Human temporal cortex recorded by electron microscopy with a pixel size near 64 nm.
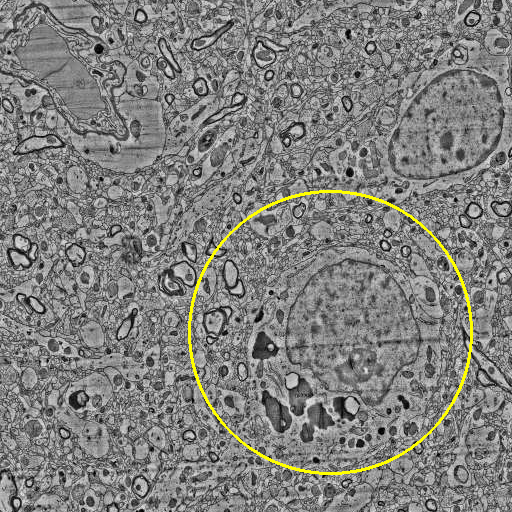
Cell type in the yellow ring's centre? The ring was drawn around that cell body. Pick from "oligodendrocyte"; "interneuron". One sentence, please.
The ringed cell body is that of an interneuron.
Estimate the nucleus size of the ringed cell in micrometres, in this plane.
In this plane, the nucleus of the cell at the centre of the ring is about 9 micrometres across.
